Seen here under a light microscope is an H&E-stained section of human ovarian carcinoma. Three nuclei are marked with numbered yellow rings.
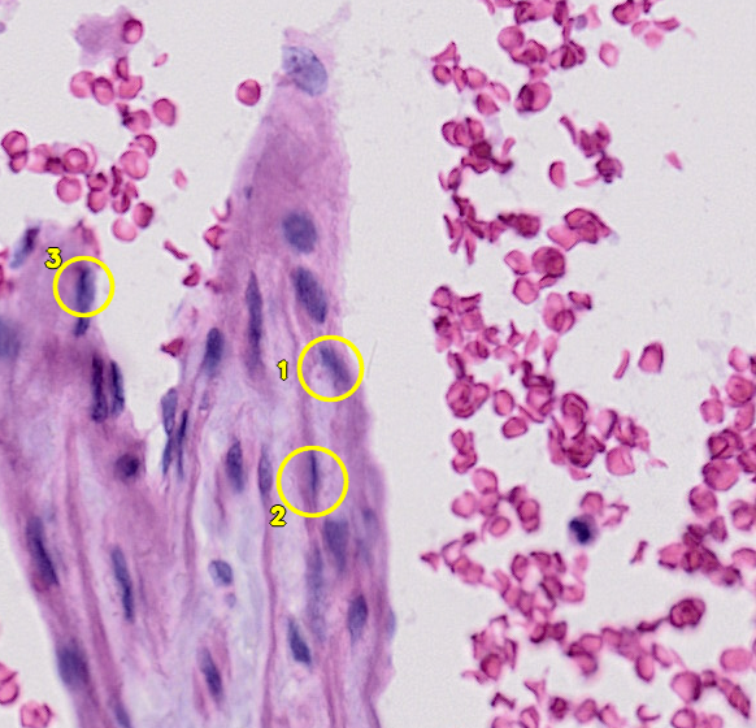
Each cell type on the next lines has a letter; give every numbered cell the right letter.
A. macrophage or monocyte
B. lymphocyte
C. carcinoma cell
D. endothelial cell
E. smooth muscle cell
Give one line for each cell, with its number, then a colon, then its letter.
1: D
2: E
3: D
